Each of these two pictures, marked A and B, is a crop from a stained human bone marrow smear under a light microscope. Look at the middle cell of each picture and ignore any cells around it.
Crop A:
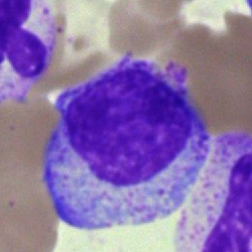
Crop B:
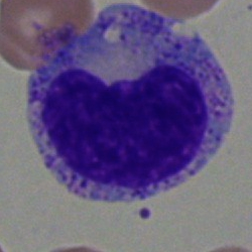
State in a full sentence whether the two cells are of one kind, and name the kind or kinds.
No, a metamyelocyte is in crop B, and a myelocyte is in crop A.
